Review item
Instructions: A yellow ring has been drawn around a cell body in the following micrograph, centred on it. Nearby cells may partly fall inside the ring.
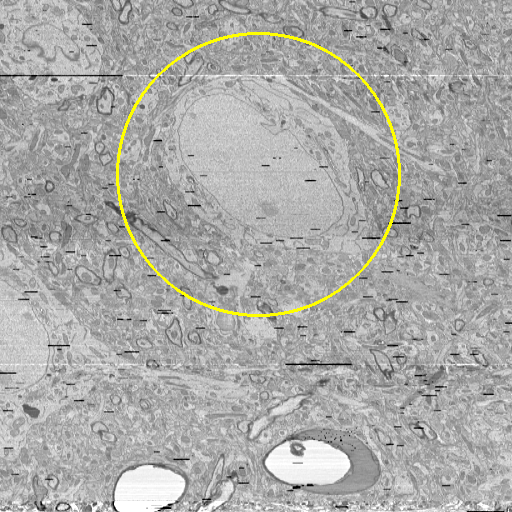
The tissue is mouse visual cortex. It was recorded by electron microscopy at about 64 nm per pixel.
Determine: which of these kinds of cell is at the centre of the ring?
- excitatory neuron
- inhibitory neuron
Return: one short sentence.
The cell body in the middle of the ring is that of an excitatory neuron.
